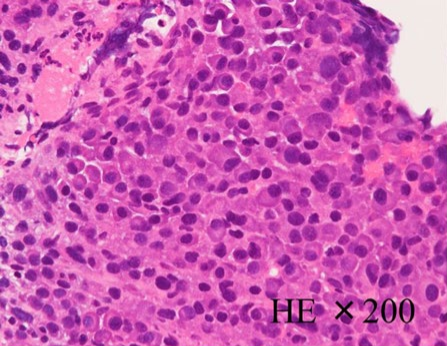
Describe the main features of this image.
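This section shows a dense sheet of abnormal plasma cells replacing the tissue. The cells are round to oval and lie loosely packed with little intervening stroma. Their nuclei are round, dark purple, and many sit eccentrically at one side of the cell. The cytoplasm is moderate in amount and stains pink to purplish. Nuclear size varies somewhat from cell to cell, and a small area of pink material lies at the upper left edge.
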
